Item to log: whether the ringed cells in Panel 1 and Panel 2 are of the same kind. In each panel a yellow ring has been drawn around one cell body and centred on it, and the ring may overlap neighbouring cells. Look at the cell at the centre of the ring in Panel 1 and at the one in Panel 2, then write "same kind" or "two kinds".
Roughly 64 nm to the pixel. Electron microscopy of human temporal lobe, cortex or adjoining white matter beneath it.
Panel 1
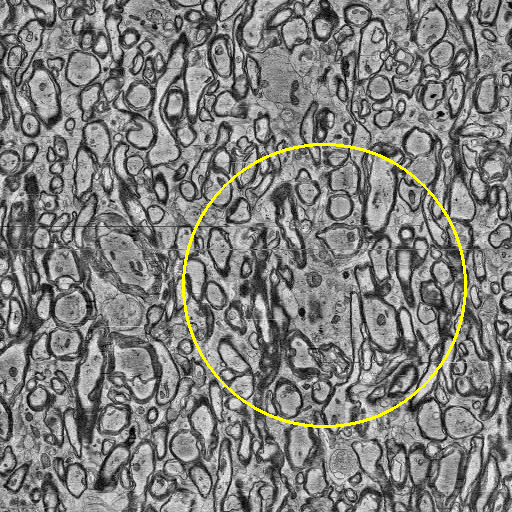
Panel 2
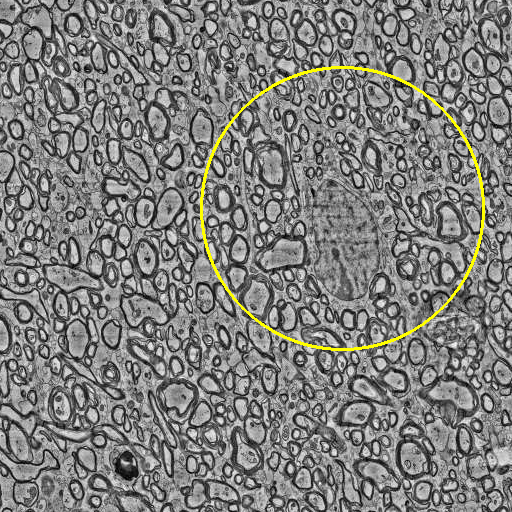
two kinds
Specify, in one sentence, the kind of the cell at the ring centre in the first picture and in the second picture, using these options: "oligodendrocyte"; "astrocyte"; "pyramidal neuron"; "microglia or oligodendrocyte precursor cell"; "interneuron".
So the first is an oligodendrocyte, the second a microglial cell or oligodendrocyte precursor cell.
